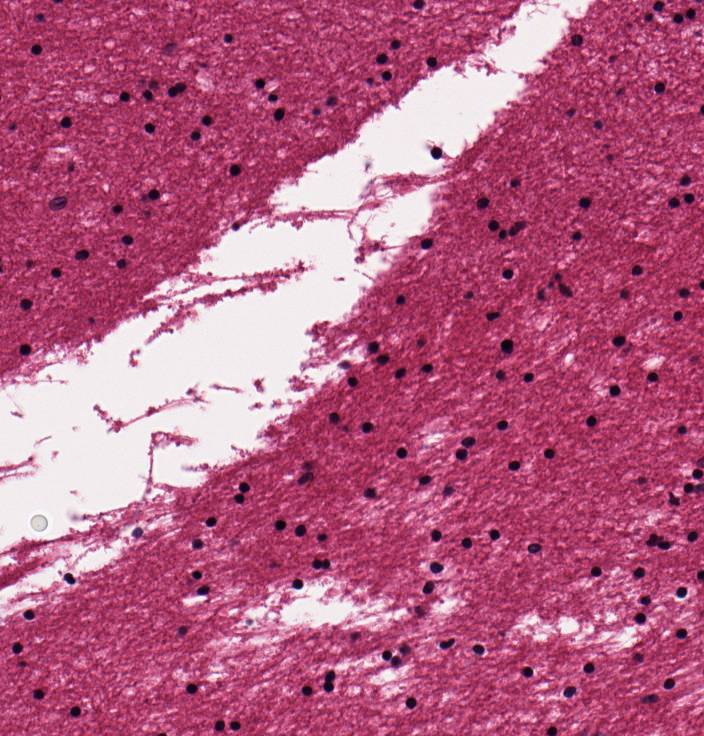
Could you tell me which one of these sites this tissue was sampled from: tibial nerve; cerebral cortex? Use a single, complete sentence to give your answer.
This section was cut from tissue of the cerebral cortex.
